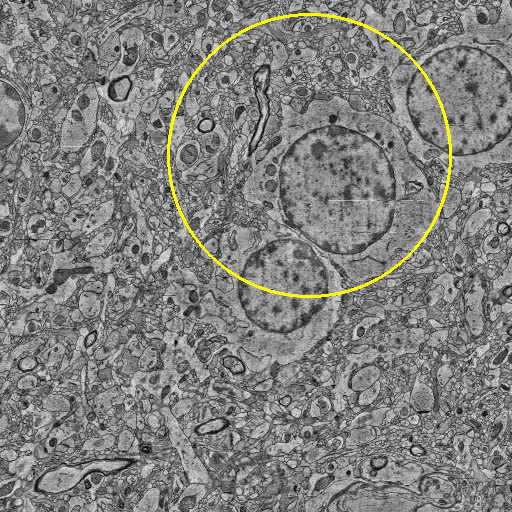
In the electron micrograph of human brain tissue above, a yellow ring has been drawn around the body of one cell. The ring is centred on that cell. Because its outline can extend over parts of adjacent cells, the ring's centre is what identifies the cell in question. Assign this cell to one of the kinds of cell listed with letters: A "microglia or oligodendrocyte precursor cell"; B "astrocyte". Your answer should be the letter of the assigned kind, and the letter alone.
B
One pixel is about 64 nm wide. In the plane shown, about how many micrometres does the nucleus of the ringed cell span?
In this plane, about 9 micrometres in length and 7 in width.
